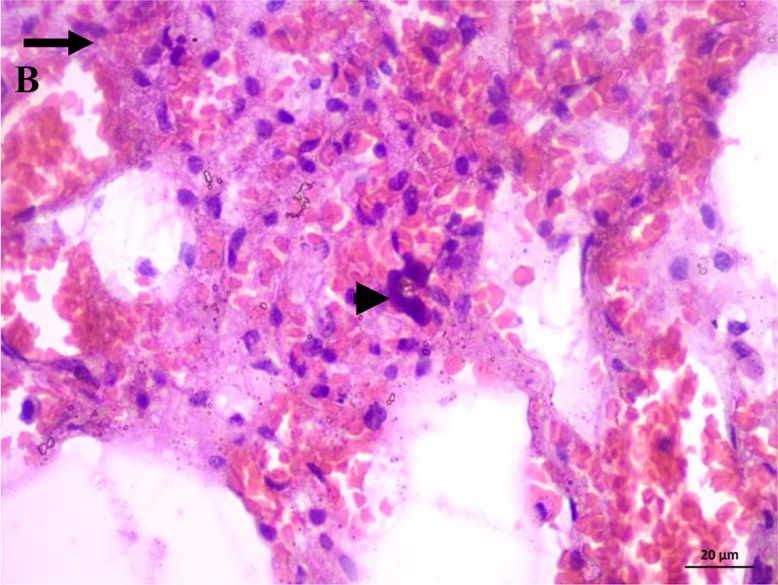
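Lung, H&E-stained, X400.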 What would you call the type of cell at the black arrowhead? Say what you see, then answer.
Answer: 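A large cell with a dark purple, dense, irregularly lobed nucleus. It is much larger than the surrounding nuclei and lies among red blood cells.
Hence: megakaryocytes.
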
